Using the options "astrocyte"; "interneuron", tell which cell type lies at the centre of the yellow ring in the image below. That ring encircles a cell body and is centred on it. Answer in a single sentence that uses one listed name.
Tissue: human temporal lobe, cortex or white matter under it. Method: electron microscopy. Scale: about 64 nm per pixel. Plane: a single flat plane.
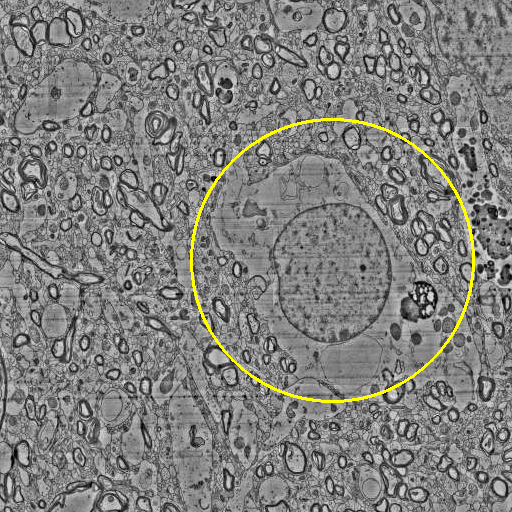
At the centre of the yellow ring lies the body of an astrocyte.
